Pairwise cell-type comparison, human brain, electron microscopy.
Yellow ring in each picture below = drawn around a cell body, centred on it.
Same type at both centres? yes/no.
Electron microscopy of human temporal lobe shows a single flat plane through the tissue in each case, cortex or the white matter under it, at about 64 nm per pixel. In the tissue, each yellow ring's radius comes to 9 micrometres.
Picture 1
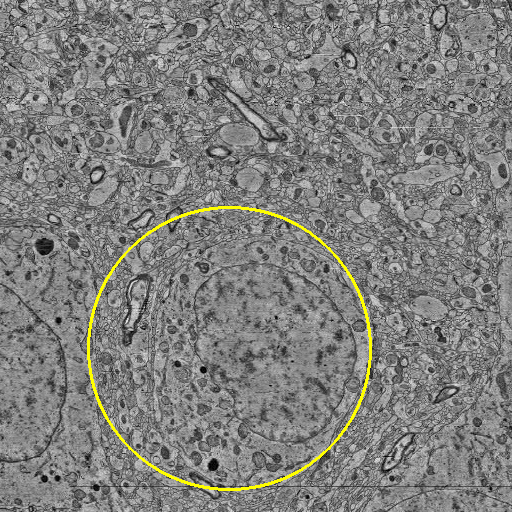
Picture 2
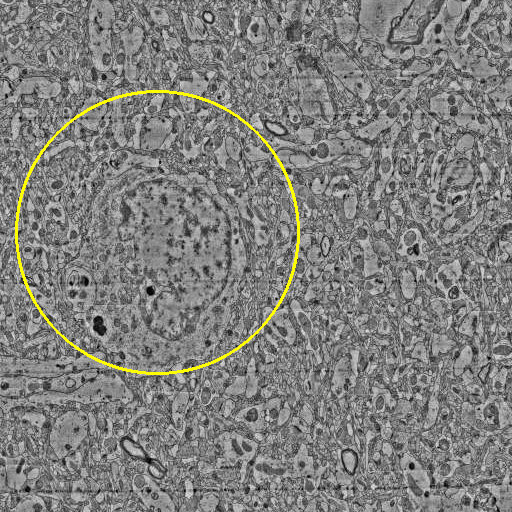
yes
